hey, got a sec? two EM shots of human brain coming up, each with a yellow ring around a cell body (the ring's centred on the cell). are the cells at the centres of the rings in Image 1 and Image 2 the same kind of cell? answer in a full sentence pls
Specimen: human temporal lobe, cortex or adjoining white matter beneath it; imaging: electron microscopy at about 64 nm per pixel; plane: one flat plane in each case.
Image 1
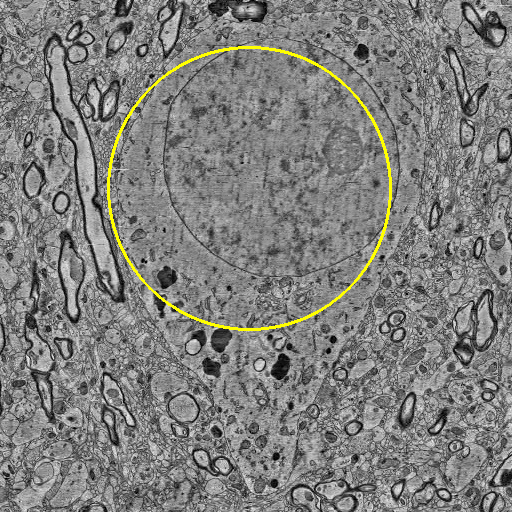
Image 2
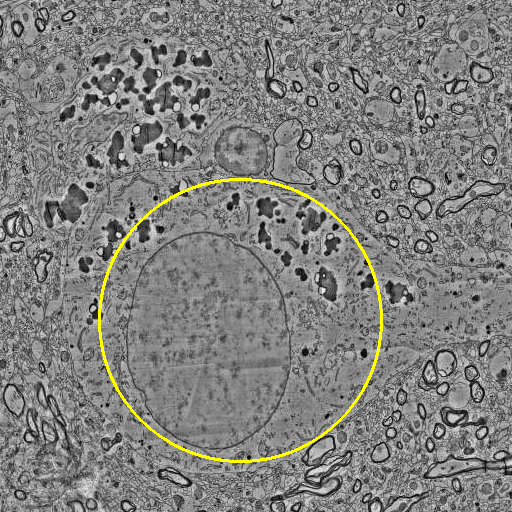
Yes, both are the same kind of cell.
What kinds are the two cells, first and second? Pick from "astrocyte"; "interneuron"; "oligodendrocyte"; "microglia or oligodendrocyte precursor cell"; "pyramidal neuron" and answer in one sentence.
Each of the two rings surrounds a pyramidal neuron.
